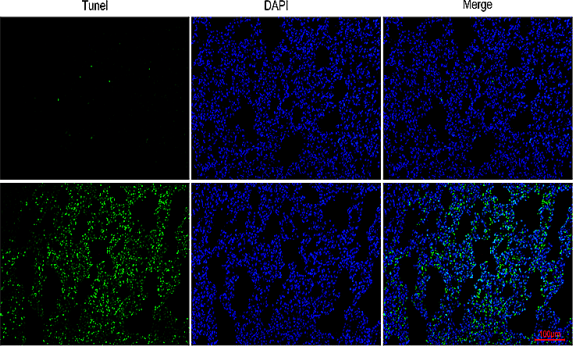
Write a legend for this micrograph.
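These are sections of lung tissue in which blue nuclei outline alveolar walls around dark air spaces. In the upper row only a few scattered green nuclei are present, whereas in the lower row many nuclei are green, overlapping the blue nuclei throughout the tissue in the merged image.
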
